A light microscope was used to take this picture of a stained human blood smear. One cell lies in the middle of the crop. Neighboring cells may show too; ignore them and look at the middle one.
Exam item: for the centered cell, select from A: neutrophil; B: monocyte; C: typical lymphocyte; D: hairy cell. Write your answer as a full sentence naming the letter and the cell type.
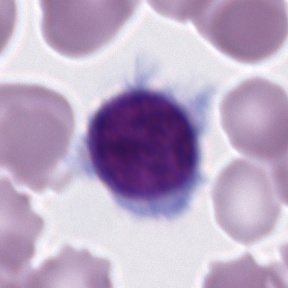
Option D is correct here, and the cell in the middle is a hairy cell.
